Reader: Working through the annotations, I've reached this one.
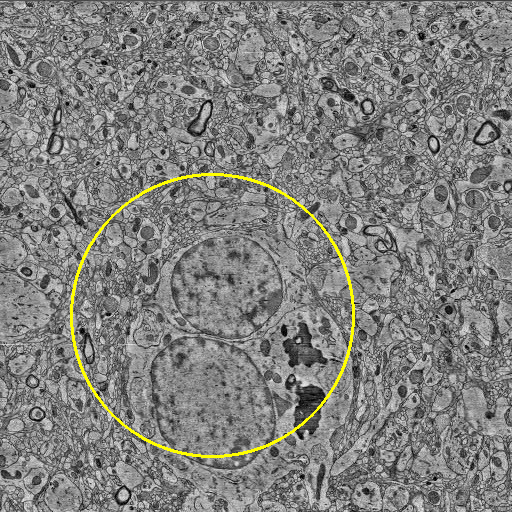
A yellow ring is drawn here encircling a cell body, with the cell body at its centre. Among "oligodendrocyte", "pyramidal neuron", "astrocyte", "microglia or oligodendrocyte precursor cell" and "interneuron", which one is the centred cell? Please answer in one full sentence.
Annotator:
The cell body at the centre of the yellow ring in this image belongs to a microglial cell or oligodendrocyte precursor cell.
